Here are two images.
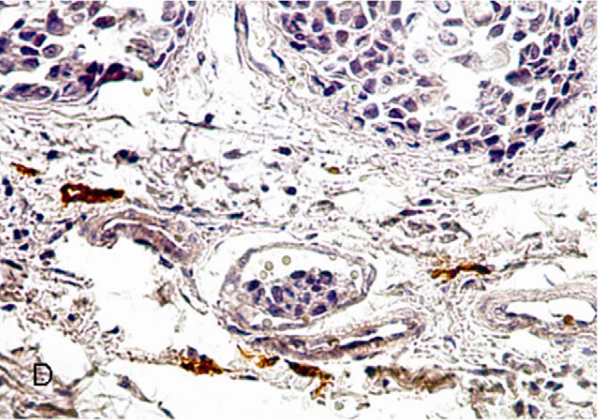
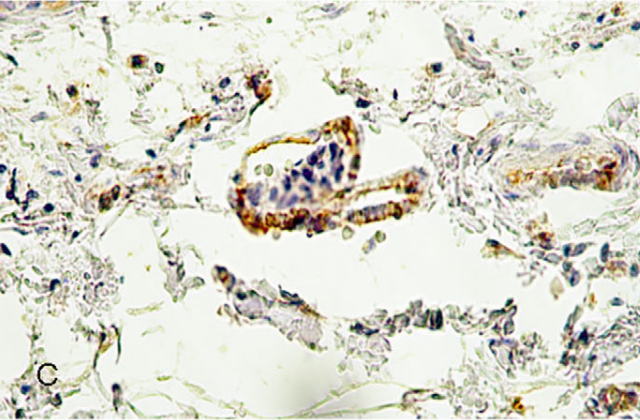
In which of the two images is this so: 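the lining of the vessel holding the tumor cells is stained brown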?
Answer: the second image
